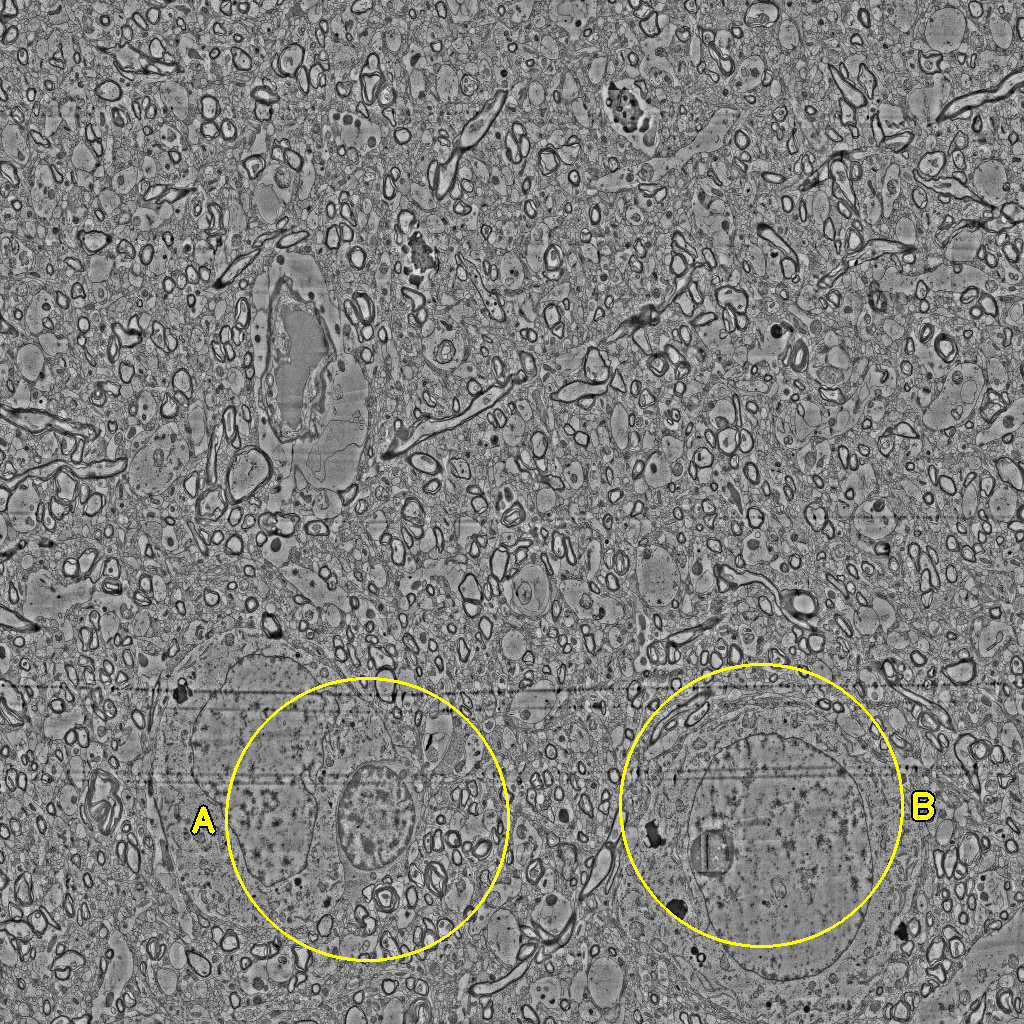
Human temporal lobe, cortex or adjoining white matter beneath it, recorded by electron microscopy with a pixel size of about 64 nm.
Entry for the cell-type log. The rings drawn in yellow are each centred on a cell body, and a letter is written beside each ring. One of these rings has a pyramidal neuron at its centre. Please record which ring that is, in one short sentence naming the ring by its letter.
Ring B is centred on it.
